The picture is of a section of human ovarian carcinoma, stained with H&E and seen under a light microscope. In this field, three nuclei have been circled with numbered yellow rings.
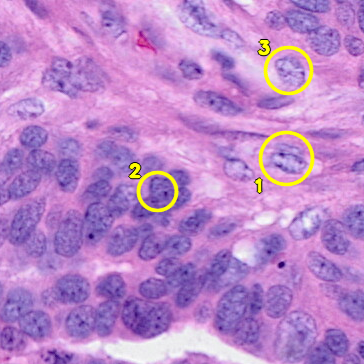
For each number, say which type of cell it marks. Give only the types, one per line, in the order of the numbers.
fibroblast
carcinoma cell
fibroblast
